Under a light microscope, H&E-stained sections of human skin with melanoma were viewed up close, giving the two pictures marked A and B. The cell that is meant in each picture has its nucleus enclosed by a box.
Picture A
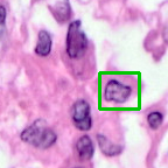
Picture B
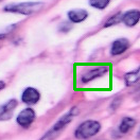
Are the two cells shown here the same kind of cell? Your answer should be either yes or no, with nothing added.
no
